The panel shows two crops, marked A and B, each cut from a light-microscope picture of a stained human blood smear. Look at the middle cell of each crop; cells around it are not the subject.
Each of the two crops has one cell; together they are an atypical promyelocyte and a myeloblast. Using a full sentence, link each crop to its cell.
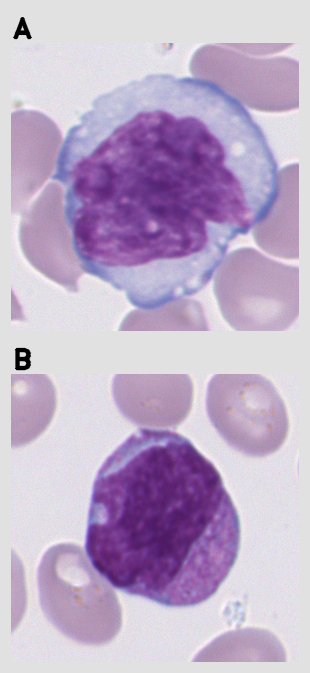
Crop A contains a myeloblast, and crop B, an atypical promyelocyte.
